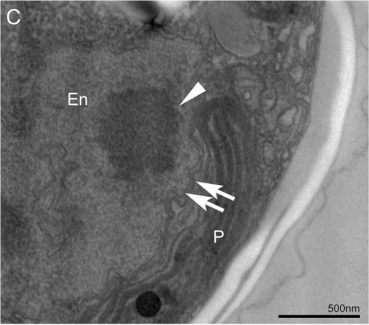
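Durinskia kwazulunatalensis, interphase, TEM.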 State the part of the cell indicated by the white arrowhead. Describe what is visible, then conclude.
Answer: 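The arrowhead points to a rounded, denser, granular patch inside a larger region of paler, finely textured material. The dense patch has no bounding membrane.
Conclusion: nucleolus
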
